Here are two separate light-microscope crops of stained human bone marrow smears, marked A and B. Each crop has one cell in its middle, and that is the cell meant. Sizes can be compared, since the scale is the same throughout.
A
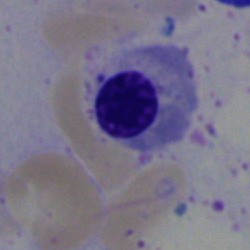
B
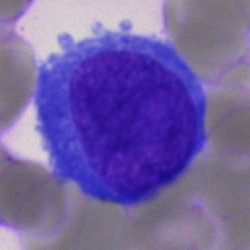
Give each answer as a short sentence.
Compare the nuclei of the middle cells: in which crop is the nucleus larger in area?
Crop B shows the larger nucleus; it covers about 4 times the area of the nucleus in crop A.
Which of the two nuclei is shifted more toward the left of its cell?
The nucleus in crop A lies further toward the left of its cell.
